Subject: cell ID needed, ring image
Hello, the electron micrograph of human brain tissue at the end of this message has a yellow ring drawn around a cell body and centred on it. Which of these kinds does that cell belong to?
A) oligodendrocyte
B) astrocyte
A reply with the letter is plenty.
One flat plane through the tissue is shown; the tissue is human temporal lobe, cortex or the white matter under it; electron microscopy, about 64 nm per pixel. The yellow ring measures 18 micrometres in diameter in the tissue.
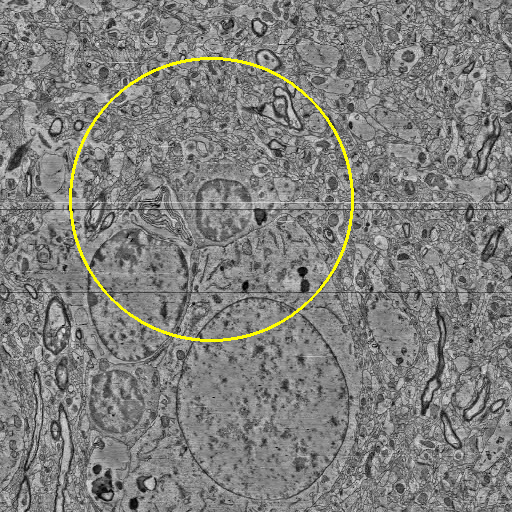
A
